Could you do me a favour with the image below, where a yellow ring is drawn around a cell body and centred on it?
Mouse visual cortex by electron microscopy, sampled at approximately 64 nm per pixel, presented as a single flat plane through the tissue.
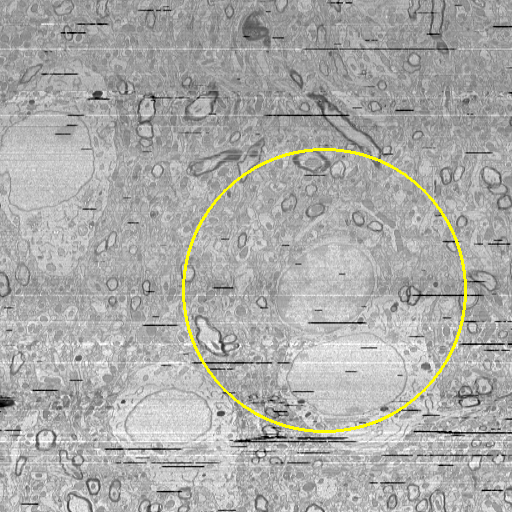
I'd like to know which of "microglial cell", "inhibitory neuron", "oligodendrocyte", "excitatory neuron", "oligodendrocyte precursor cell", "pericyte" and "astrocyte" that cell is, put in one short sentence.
The cell at the ring's centre is an oligodendrocyte.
